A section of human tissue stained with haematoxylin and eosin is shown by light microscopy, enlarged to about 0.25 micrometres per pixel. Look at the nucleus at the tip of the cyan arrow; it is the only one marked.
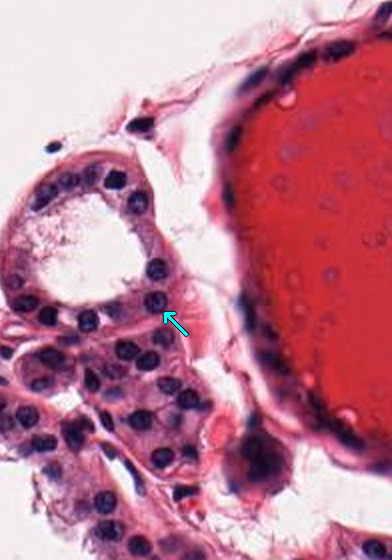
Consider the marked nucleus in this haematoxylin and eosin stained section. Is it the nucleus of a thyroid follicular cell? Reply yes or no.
yes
